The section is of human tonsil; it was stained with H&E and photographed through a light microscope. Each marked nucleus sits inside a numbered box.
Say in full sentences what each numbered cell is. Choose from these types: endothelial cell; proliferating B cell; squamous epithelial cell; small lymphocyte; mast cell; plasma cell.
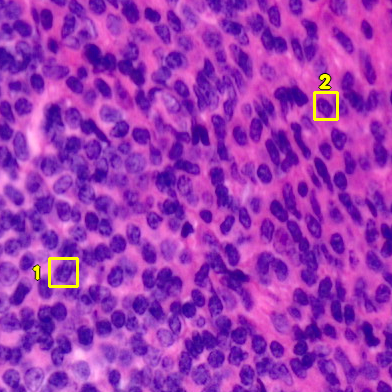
Cell 1 is a small lymphocyte. Cell 2 is a plasma cell.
